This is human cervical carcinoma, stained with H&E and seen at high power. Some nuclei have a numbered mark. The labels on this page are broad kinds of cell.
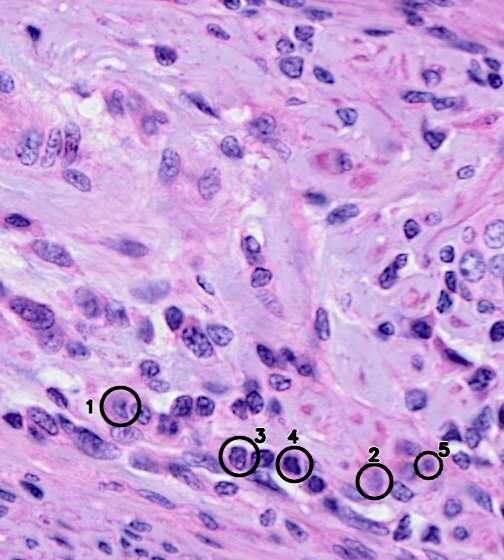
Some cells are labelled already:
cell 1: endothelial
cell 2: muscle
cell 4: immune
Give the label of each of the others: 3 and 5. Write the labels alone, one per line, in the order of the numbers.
immune
muscle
